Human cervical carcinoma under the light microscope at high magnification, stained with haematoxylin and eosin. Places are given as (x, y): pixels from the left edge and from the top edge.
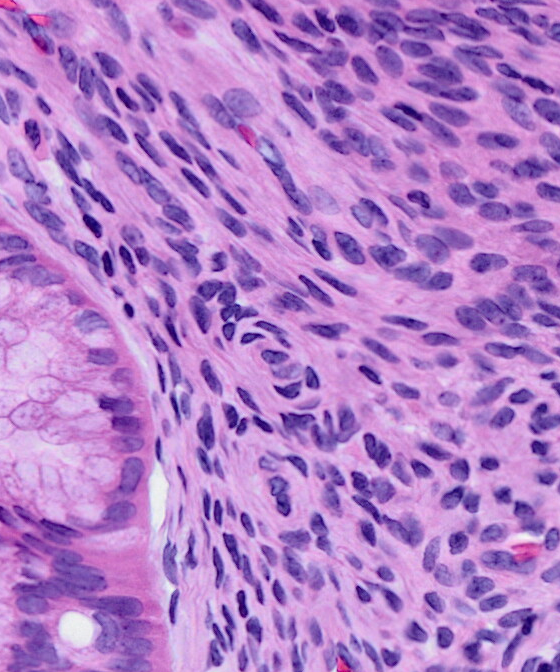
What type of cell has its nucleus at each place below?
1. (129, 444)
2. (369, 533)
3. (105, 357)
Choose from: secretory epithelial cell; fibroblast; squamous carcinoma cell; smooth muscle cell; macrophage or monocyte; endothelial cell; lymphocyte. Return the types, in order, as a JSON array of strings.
["secretory epithelial cell", "fibroblast", "secretory epithelial cell"]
